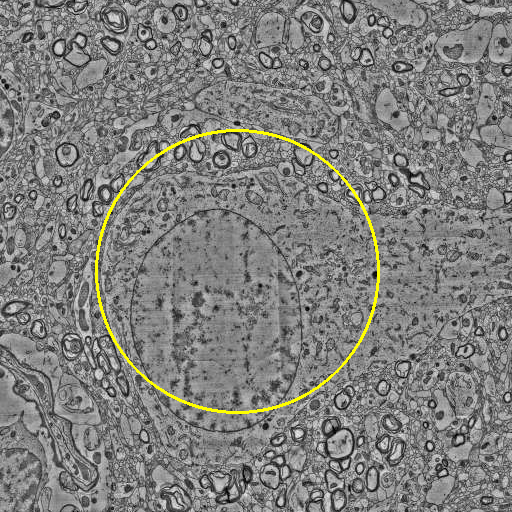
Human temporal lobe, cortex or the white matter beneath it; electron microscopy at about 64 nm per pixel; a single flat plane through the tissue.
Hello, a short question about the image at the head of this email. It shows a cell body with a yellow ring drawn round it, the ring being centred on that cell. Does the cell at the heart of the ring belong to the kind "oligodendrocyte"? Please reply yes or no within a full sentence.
No, the cell at the heart of the ring in that image is of a different kind.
